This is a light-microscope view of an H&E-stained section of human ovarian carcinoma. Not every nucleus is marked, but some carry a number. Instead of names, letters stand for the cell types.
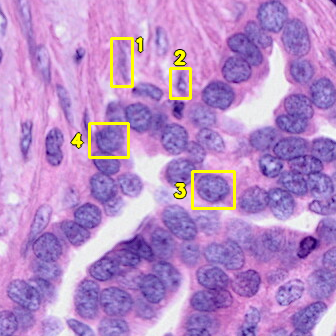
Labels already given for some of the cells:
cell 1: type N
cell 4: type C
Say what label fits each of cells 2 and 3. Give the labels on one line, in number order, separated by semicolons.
type N; type C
